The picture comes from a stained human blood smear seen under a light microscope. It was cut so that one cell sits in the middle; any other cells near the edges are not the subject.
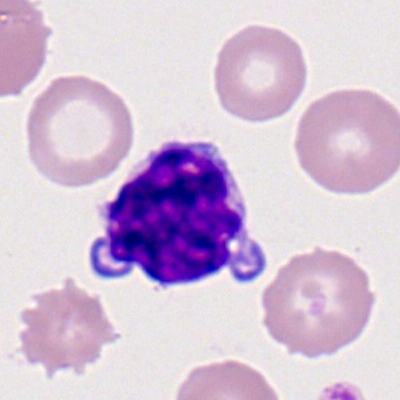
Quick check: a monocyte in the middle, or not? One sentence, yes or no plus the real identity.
No, the middle cell is classified as a lymphocyte instead of a monocyte.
